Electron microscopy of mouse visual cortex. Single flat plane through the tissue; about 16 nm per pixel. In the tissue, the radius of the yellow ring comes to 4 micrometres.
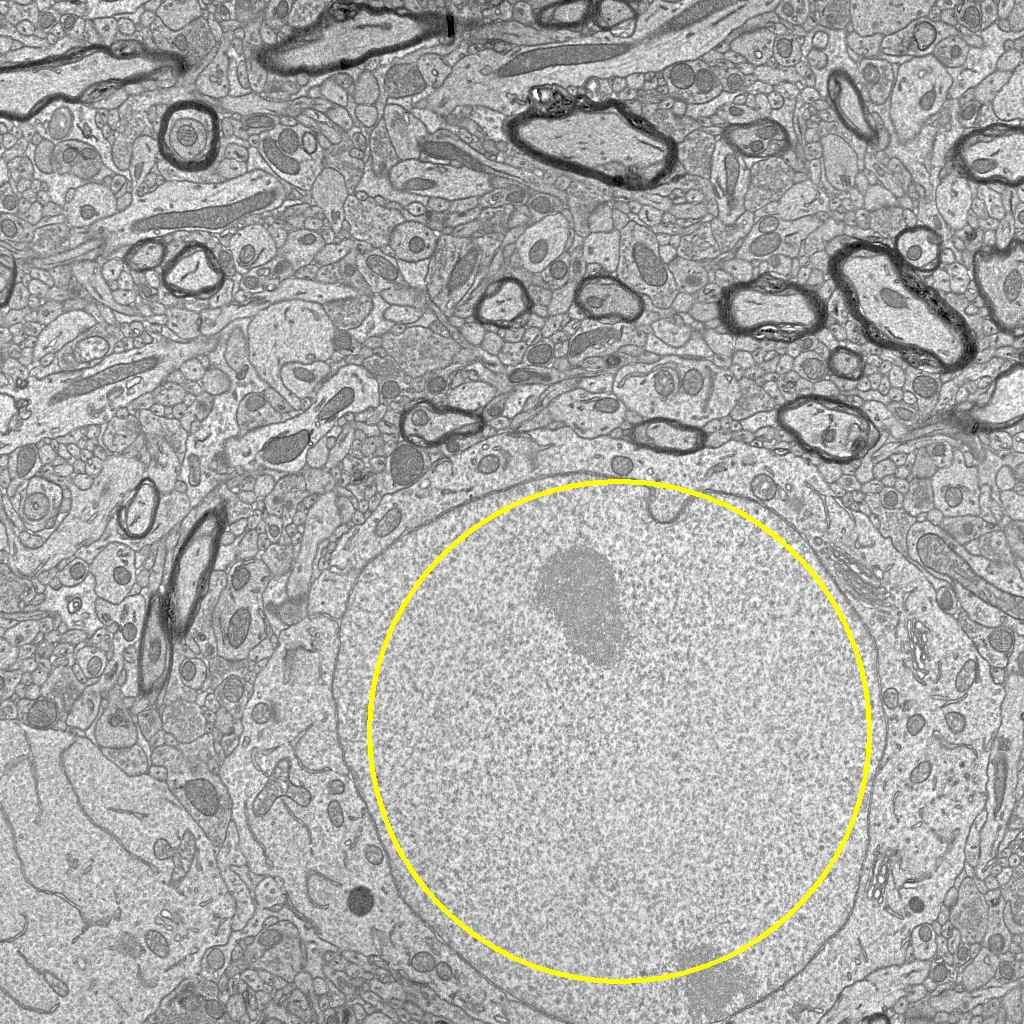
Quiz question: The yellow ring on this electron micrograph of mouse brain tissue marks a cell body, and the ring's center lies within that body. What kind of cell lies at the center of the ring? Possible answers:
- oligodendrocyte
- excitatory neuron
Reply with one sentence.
The ring's center lies on an excitatory neuron.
